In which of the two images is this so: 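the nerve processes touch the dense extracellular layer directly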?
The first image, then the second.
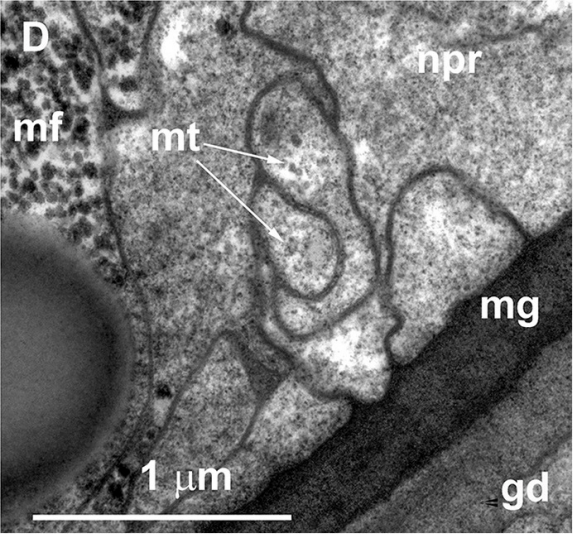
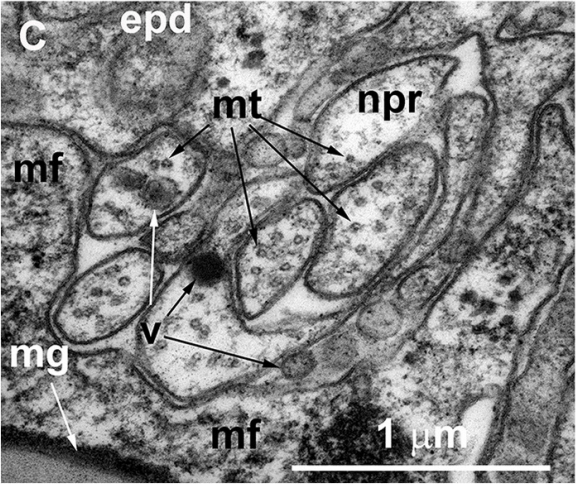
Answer: The first image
